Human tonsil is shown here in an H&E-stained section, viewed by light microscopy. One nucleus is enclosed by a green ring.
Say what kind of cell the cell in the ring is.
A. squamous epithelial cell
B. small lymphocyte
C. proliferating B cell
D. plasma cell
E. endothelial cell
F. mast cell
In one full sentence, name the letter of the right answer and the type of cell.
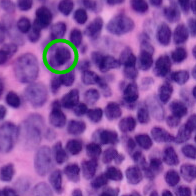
Settle on option B; the cell in the ring is a small lymphocyte.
